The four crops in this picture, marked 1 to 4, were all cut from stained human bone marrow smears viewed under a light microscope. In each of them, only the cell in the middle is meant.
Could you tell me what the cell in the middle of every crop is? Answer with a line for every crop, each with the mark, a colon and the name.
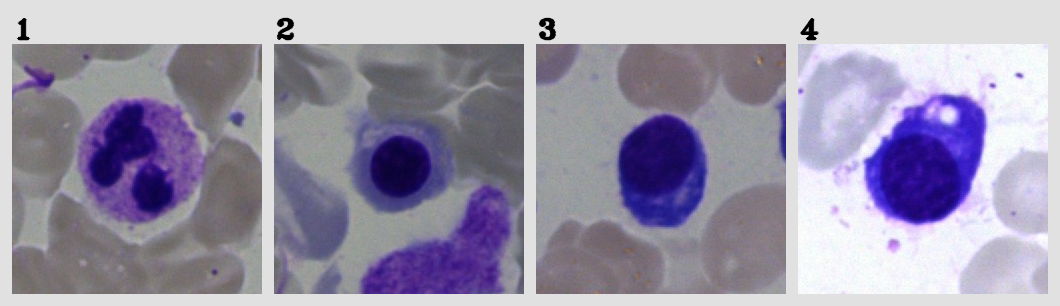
1: neutrophil
2: normoblast
3: plasma cell
4: plasma cell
